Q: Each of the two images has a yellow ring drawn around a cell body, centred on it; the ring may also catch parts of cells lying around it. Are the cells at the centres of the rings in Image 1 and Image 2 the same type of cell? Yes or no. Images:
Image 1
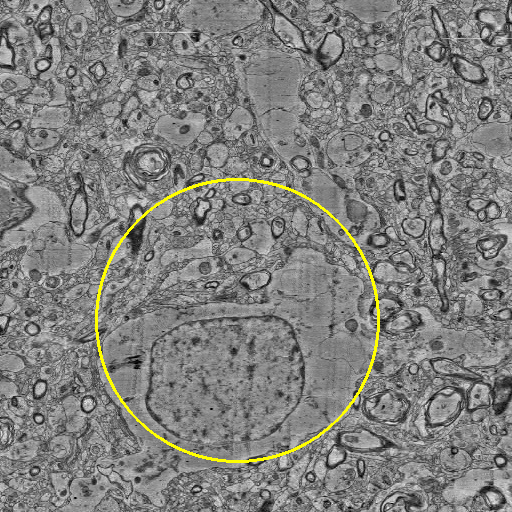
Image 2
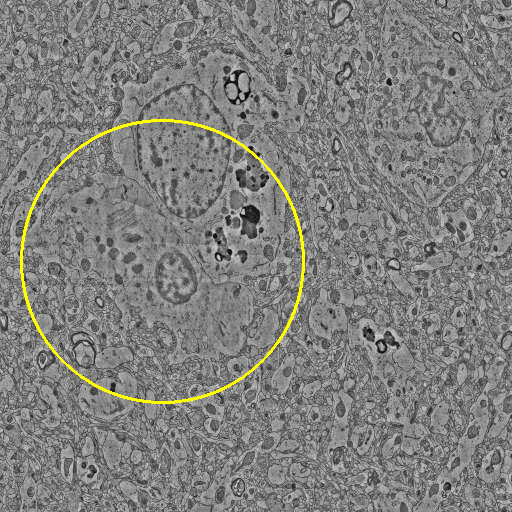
yes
